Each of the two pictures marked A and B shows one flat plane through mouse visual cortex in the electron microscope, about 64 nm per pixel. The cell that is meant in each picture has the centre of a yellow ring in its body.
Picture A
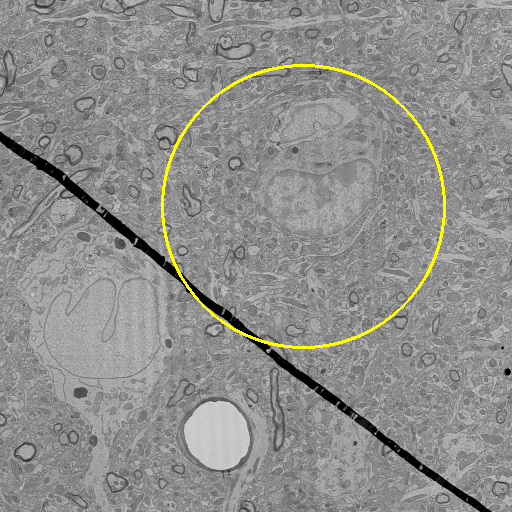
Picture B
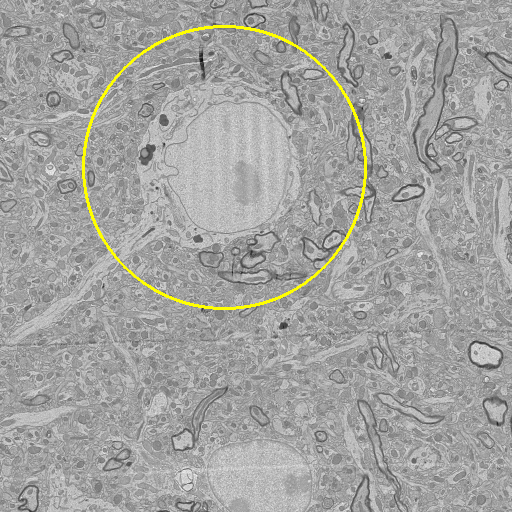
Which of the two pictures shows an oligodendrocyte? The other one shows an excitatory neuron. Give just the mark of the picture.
A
